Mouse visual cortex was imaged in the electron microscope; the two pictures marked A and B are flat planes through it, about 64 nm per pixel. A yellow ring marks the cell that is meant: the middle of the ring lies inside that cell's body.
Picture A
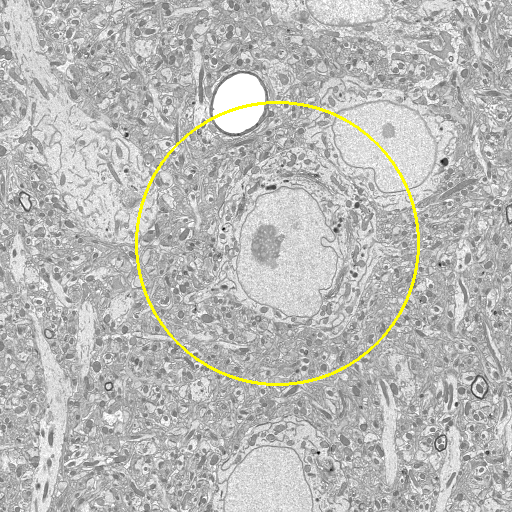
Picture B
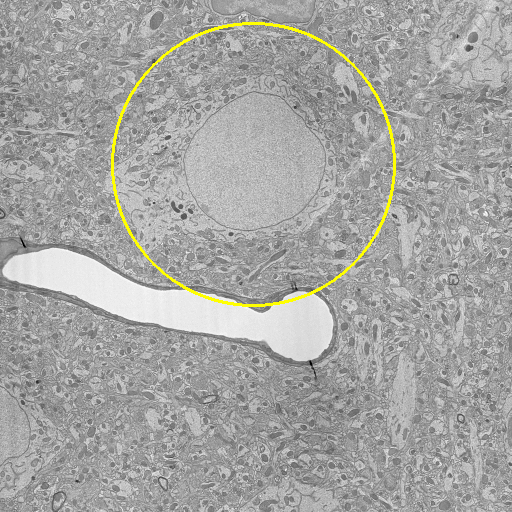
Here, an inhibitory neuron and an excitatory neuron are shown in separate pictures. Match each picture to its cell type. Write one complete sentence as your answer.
Picture B shows an excitatory neuron, while picture A shows an inhibitory neuron.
